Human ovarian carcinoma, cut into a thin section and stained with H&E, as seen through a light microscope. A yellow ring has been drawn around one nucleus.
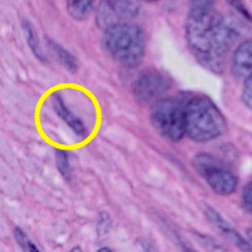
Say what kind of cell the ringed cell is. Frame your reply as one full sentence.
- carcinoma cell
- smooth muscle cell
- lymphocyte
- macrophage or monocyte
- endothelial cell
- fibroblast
To be brief about it, the ringed cell is a fibroblast.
